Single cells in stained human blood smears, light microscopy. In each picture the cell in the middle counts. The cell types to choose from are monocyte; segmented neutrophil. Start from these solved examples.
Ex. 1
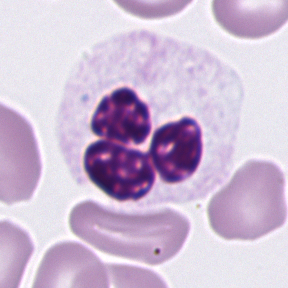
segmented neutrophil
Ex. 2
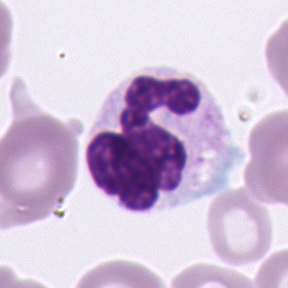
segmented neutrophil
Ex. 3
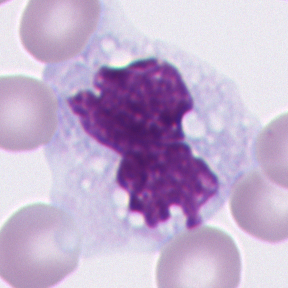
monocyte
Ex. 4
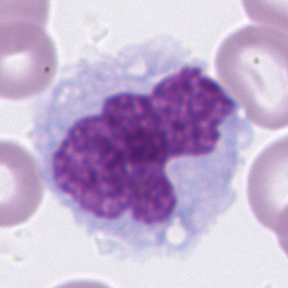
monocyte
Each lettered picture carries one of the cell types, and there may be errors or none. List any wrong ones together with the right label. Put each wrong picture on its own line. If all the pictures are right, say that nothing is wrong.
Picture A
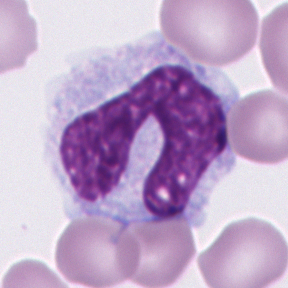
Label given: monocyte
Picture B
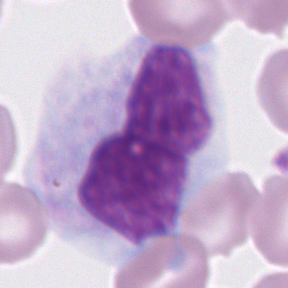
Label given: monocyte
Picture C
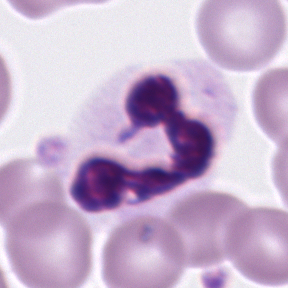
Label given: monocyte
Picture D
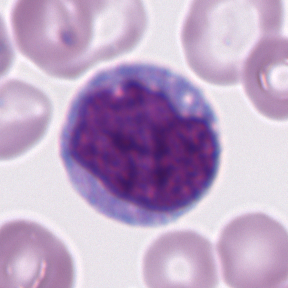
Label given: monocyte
C: segmented neutrophil, not monocyte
